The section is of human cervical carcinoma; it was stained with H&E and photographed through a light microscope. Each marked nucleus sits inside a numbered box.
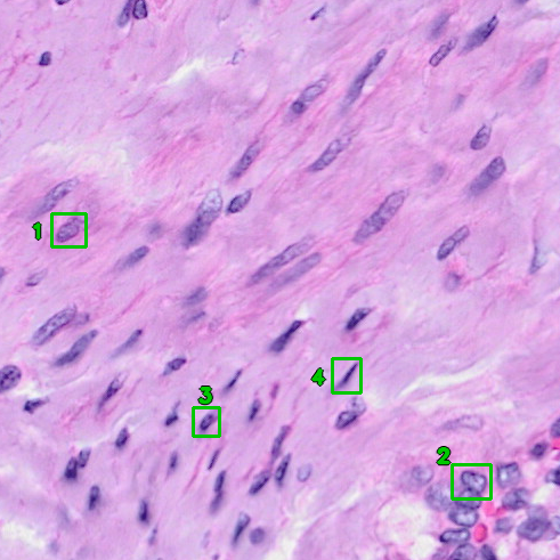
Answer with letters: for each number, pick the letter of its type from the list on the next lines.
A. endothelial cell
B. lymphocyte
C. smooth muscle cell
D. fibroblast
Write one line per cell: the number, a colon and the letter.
1: C
2: A
3: D
4: D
